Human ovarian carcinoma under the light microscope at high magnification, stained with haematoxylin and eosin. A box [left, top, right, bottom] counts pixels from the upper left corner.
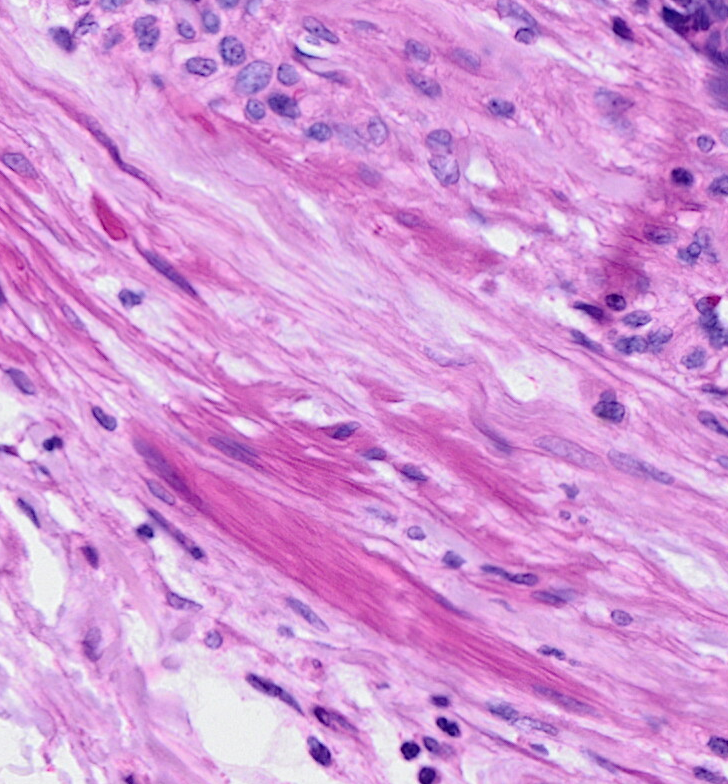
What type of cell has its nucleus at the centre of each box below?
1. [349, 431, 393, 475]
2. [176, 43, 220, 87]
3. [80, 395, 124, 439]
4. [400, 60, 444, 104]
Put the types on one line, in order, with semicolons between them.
smooth muscle cell; macrophage or monocyte; macrophage or monocyte; fibroblast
